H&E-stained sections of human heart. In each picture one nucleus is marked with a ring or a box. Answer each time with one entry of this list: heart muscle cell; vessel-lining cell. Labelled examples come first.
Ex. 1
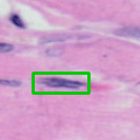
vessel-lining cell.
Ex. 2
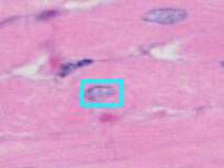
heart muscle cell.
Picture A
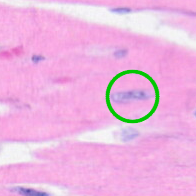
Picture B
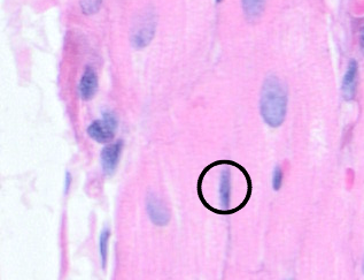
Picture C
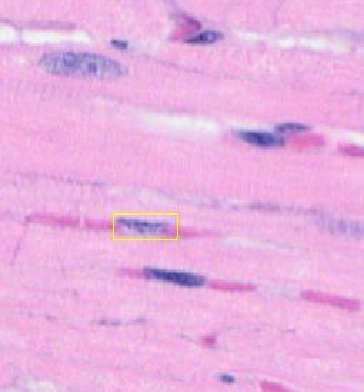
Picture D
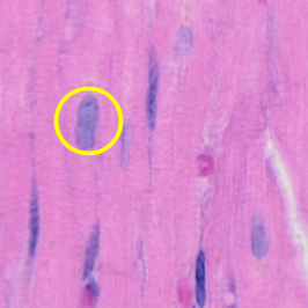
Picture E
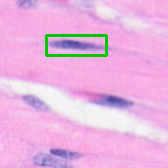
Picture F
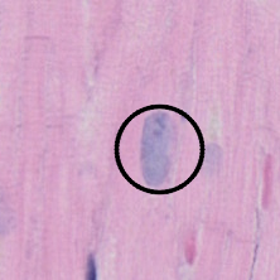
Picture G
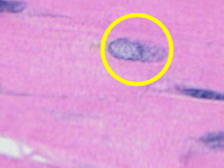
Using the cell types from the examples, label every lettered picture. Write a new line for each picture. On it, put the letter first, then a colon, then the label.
A: heart muscle cell.
B: vessel-lining cell.
C: vessel-lining cell.
D: heart muscle cell.
E: vessel-lining cell.
F: heart muscle cell.
G: heart muscle cell.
